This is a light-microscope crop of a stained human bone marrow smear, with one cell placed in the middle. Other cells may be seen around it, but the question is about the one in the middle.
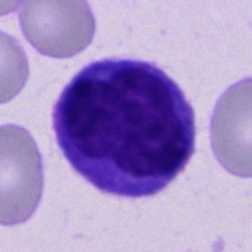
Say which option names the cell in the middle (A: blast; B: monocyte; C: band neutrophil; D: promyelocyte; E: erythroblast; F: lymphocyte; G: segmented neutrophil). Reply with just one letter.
B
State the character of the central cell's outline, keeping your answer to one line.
Happy to help: the outline is smooth and shows no projections.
